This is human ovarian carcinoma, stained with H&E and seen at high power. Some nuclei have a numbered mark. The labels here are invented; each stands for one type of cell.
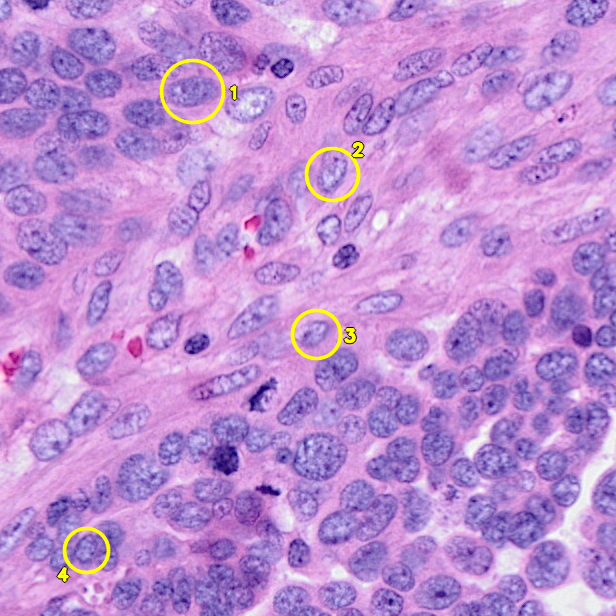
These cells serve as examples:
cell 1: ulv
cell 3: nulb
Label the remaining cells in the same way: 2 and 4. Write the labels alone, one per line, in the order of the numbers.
nulb
ulv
